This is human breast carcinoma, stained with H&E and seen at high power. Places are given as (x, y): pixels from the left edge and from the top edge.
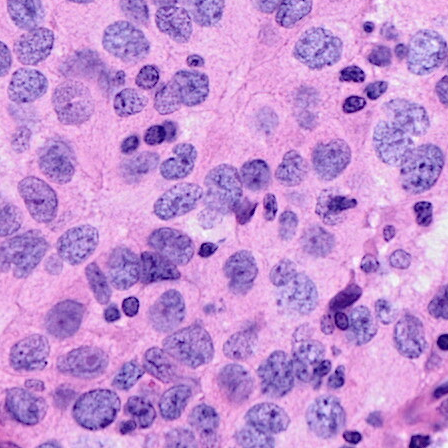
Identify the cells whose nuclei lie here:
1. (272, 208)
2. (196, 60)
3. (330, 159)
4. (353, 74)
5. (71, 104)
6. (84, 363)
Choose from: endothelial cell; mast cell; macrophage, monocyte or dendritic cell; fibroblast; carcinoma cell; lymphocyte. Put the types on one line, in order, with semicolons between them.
lymphocyte; lymphocyte; carcinoma cell; lymphocyte; carcinoma cell; carcinoma cell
